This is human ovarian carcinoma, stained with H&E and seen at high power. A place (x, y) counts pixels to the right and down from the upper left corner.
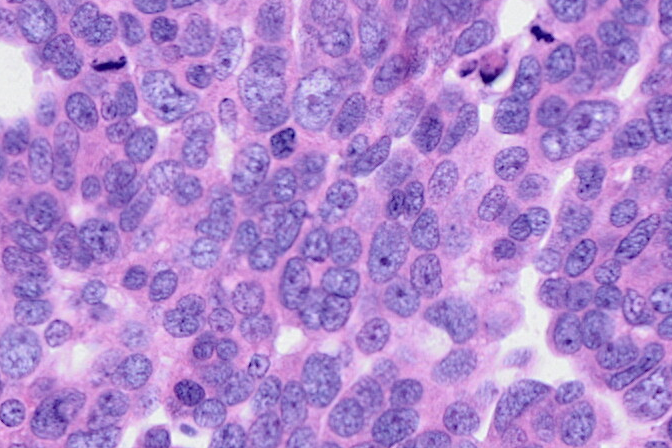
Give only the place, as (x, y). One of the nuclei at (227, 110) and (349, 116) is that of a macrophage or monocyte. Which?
(227, 110)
